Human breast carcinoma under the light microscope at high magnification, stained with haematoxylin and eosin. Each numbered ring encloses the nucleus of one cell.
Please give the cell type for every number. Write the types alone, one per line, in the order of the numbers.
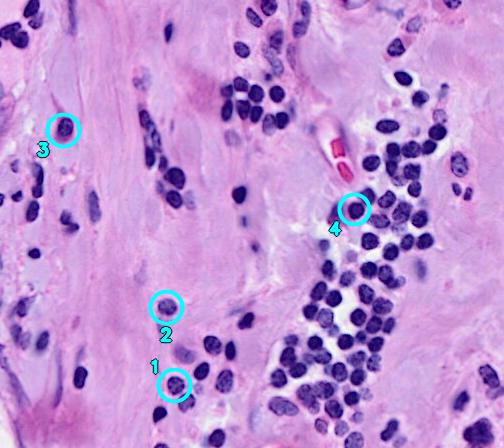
lymphocyte
lymphocyte
mast cell
lymphocyte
